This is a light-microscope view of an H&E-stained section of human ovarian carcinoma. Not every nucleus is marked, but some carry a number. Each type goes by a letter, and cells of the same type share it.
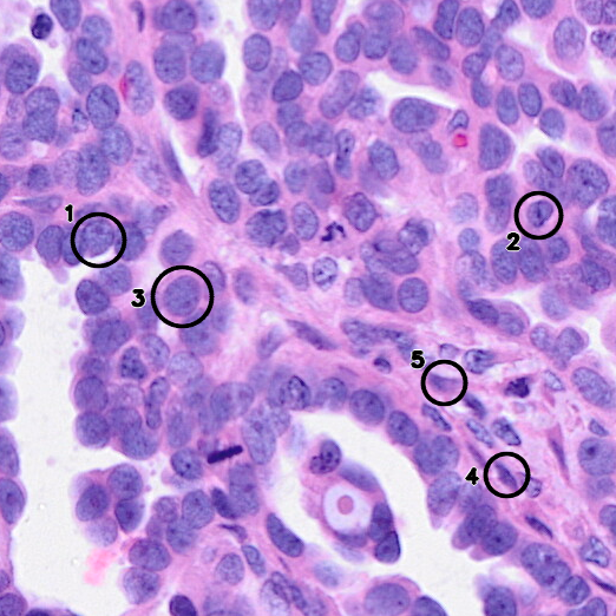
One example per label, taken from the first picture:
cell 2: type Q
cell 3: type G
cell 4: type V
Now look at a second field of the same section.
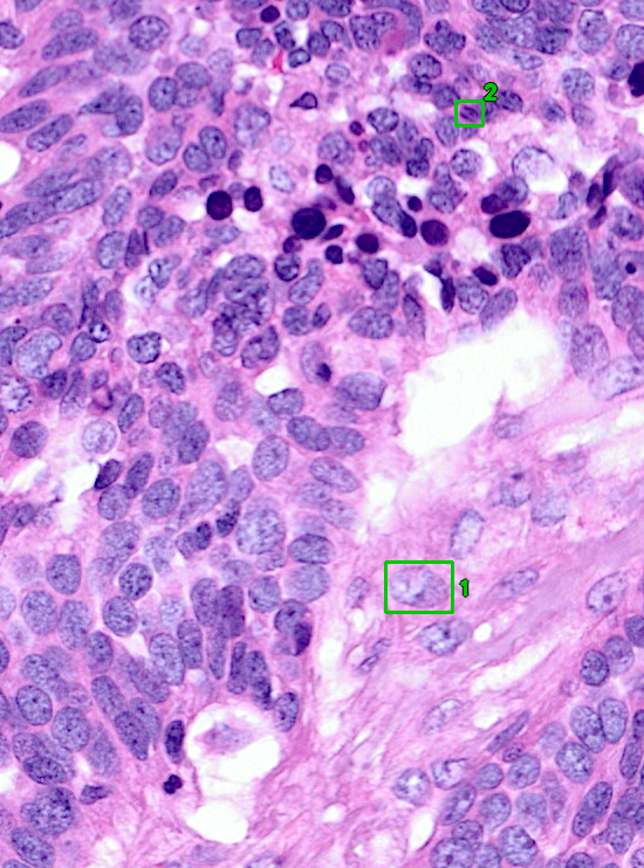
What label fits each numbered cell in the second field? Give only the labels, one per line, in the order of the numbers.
type V
type G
